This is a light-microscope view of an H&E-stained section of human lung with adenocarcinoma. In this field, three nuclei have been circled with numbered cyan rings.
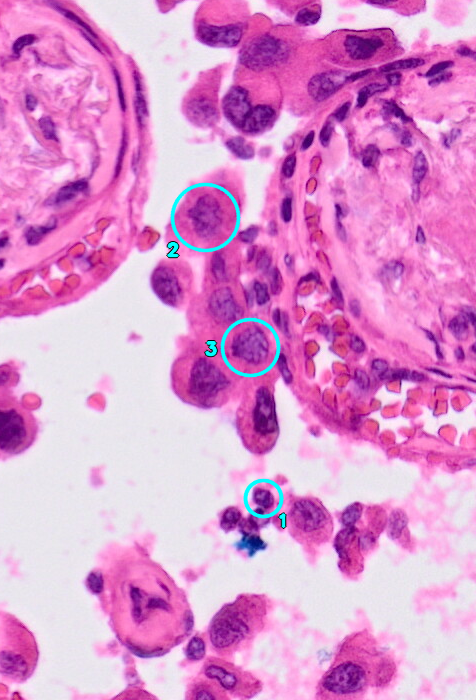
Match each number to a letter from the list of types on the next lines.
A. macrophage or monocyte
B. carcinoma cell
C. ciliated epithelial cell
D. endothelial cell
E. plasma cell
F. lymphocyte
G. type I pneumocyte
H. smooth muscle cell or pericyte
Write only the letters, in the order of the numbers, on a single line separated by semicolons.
F; B; B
